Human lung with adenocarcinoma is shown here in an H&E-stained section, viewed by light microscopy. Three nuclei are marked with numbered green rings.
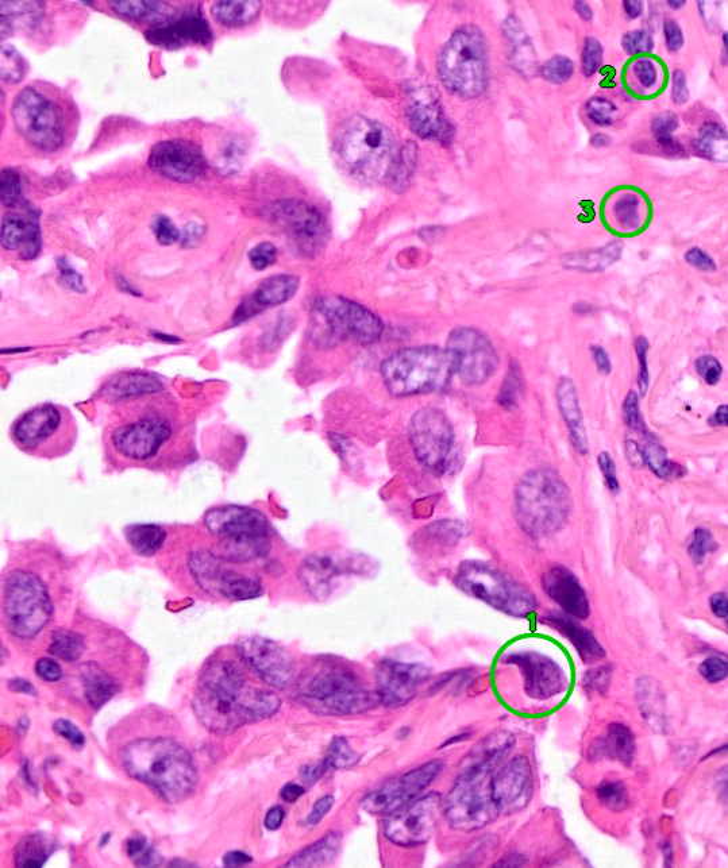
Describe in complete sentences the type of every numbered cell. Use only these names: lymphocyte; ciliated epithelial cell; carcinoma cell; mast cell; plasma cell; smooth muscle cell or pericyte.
Cell 1 is a carcinoma cell. Cell 2 is a lymphocyte. Cell 3 is a mast cell.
